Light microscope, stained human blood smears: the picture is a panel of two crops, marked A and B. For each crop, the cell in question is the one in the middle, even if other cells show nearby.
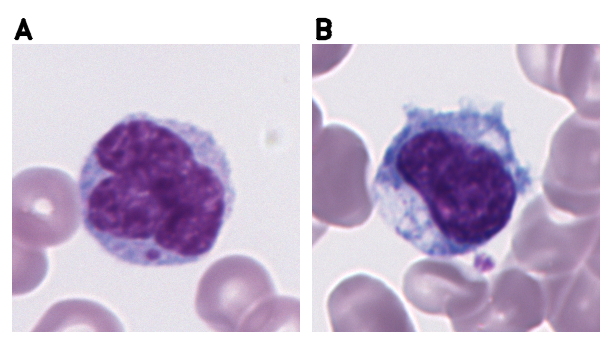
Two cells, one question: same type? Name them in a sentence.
Yes, the cells placed at the centre of both crops are monocytes.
